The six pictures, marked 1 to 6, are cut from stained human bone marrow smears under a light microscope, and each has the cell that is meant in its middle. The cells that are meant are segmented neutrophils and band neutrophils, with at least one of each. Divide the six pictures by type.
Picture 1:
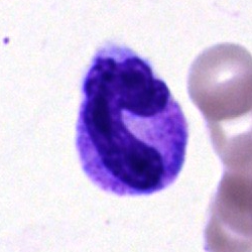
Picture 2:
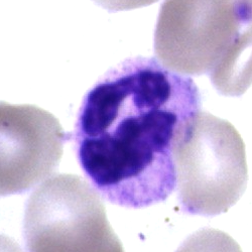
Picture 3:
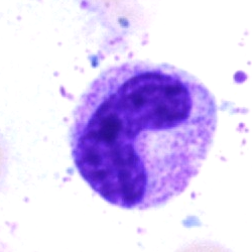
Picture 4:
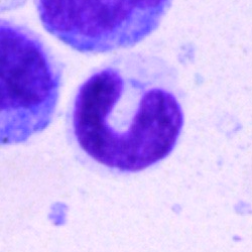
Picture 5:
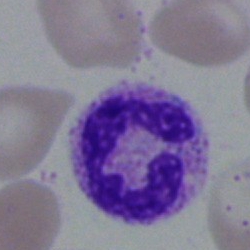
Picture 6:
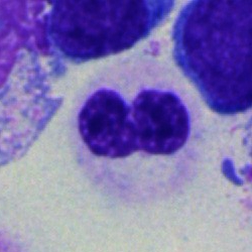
1: band neutrophil
2: segmented neutrophil
3: band neutrophil
4: band neutrophil
5: segmented neutrophil
6: segmented neutrophil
